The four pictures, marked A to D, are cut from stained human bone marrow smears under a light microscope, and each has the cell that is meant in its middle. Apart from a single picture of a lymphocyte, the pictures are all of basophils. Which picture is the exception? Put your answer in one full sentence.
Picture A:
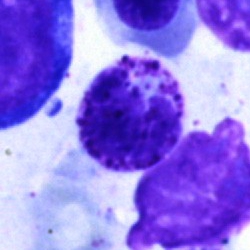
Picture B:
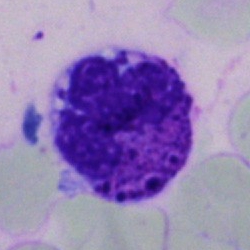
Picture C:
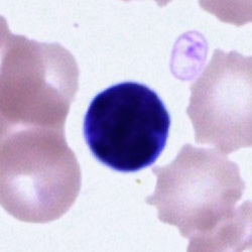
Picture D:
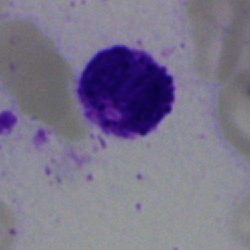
The picture with the lymphocyte is C.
